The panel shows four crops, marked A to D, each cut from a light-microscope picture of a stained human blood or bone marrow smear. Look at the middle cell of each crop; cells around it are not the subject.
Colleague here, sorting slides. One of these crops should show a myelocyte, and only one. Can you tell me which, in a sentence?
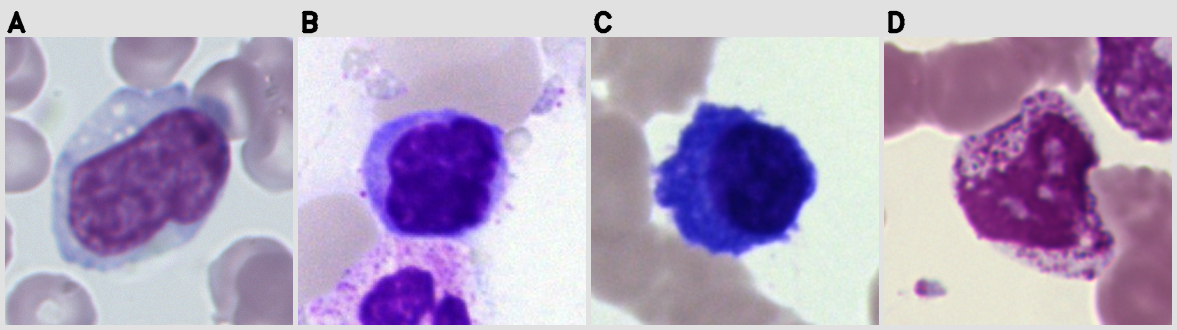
When the crops are compared, crop D is the one showing a myelocyte.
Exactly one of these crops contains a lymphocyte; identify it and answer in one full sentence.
Crop B is the one depicting a lymphocyte.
